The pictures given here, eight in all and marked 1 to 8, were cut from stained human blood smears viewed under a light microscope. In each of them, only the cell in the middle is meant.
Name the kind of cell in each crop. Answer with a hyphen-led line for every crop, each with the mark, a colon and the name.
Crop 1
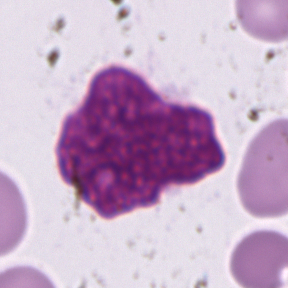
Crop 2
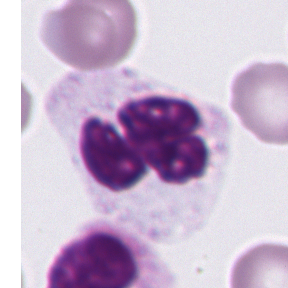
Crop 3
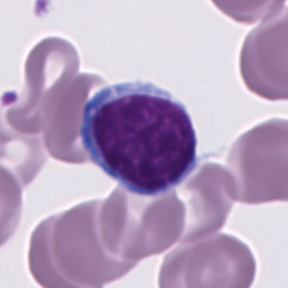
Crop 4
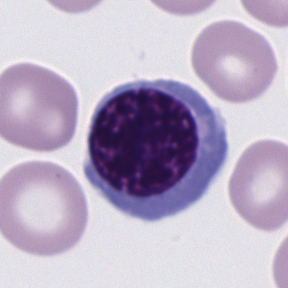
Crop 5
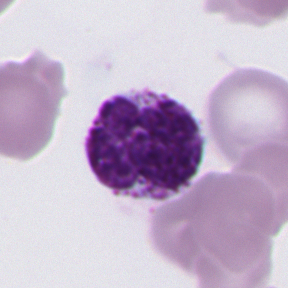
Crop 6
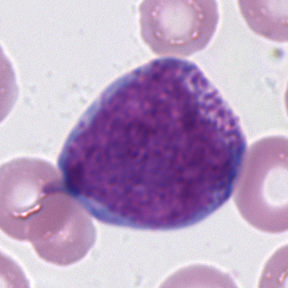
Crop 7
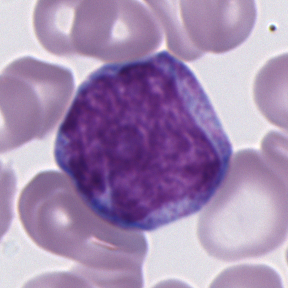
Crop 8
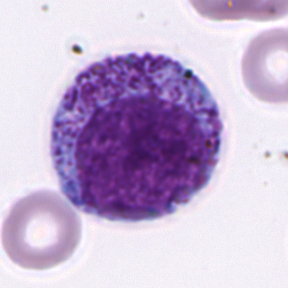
- 1: smudge cell
- 2: neutrophil
- 3: typical lymphocyte
- 4: erythroblast
- 5: basophil
- 6: promyelocyte
- 7: promyelocyte
- 8: promyelocyte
